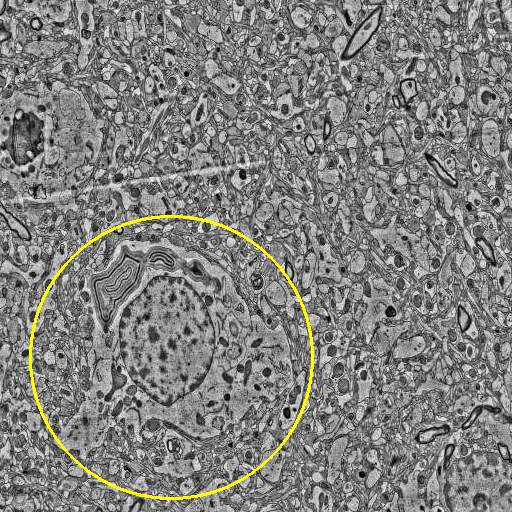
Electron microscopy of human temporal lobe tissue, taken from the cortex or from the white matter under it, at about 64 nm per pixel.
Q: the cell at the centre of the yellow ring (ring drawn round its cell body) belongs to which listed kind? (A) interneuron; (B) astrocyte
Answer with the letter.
B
